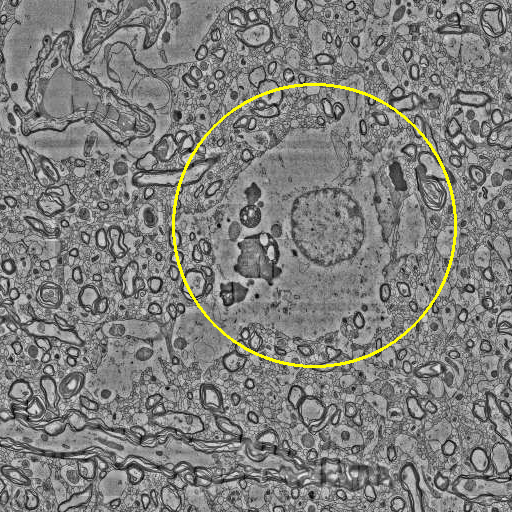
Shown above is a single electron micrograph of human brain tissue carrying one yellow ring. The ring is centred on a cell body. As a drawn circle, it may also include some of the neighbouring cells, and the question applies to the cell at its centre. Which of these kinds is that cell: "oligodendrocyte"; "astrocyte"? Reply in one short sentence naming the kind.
The cell marked by the ring is an astrocyte.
